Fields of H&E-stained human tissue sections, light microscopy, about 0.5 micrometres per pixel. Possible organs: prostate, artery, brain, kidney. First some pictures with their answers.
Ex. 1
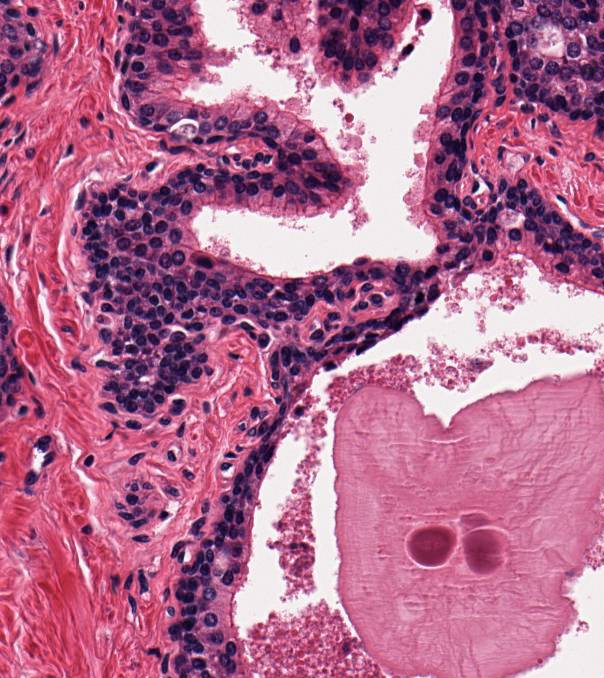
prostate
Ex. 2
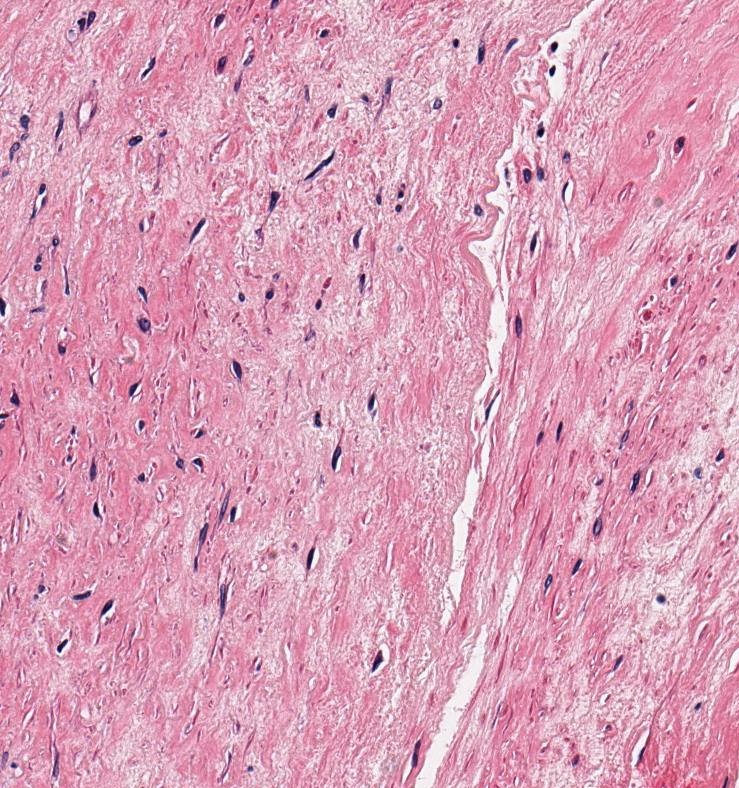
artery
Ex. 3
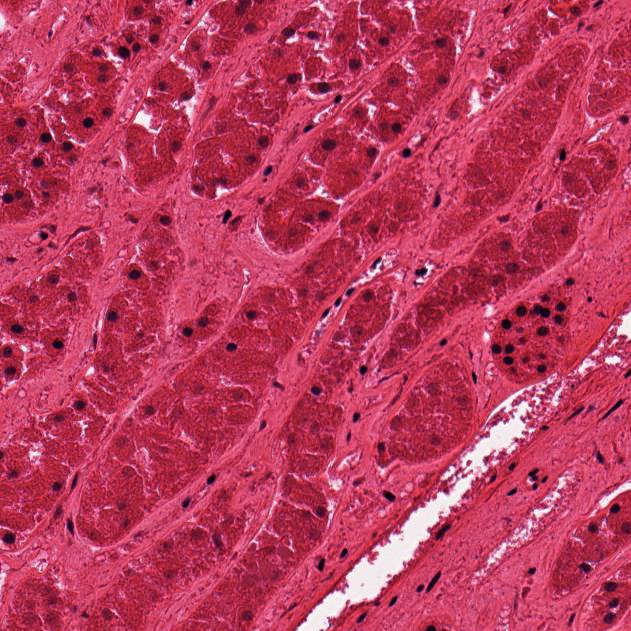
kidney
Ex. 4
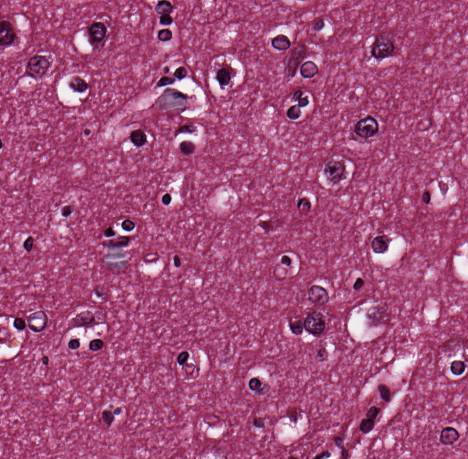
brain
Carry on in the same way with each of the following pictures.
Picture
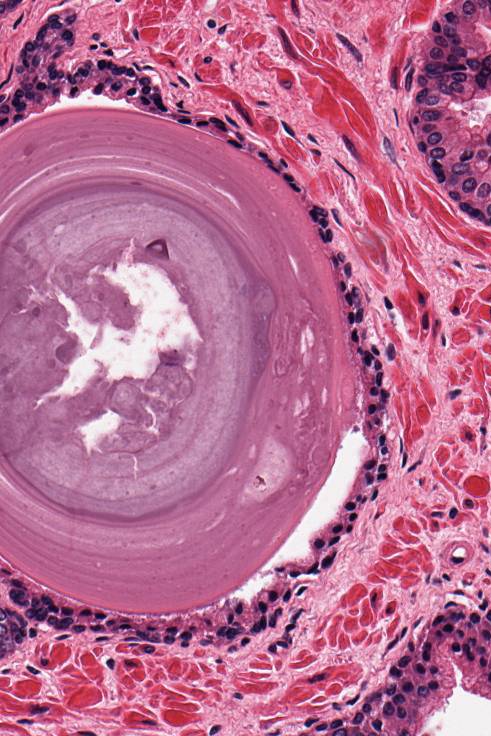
prostate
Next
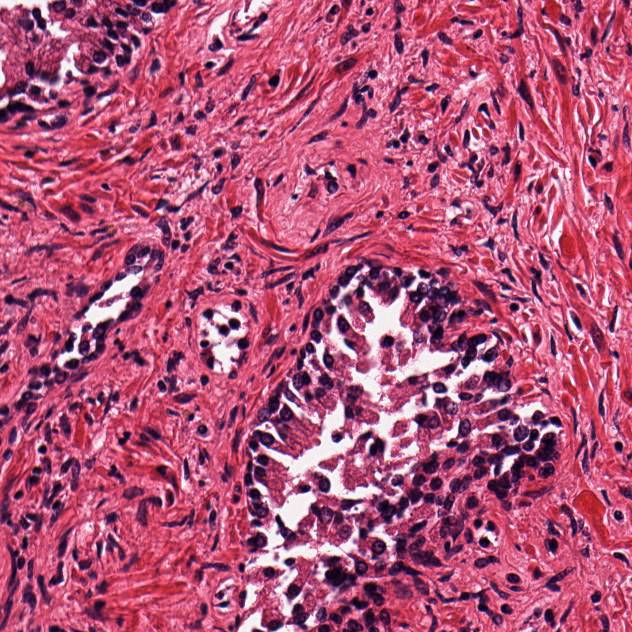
prostate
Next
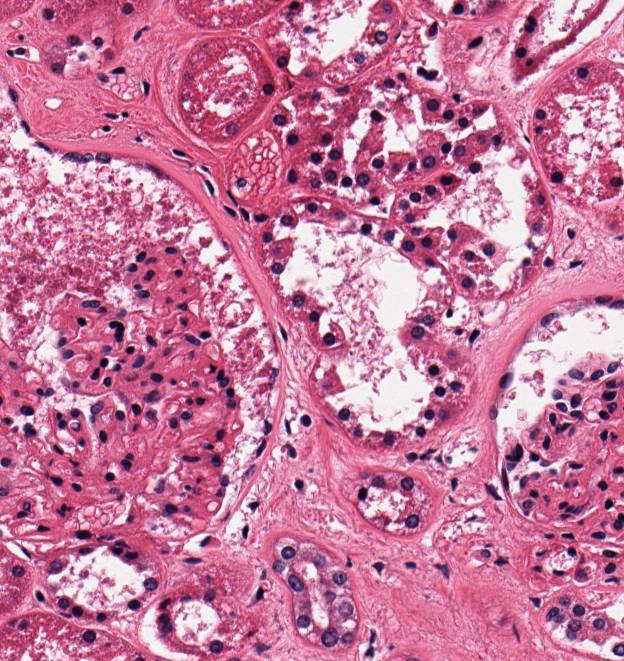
kidney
